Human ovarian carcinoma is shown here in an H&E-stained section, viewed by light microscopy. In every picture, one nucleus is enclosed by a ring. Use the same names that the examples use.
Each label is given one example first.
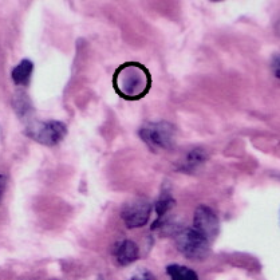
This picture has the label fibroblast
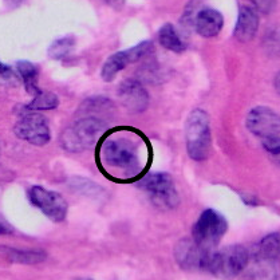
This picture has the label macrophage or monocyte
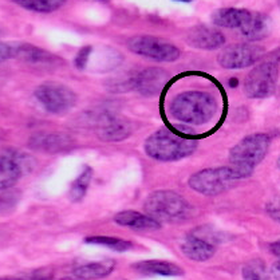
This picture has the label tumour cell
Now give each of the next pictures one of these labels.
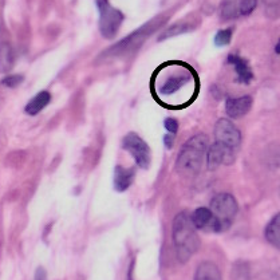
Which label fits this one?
macrophage or monocyte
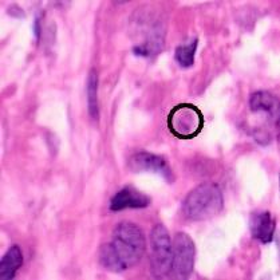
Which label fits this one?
macrophage or monocyte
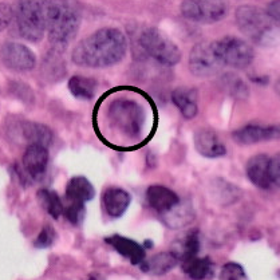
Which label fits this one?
tumour cell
